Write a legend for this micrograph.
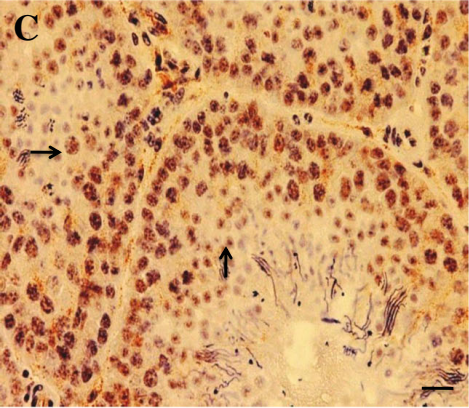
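Within the epithelium many rounded spermatocytes with large nuclei are stained dark brown, arranged in rows toward the outer part of each tubule. Toward the lumen the cells are smaller and paler, and bundles of dark elongated sperm heads with trailing tails point into the lumen. Faint brown staining also runs along the interstitial tissue between tubules.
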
